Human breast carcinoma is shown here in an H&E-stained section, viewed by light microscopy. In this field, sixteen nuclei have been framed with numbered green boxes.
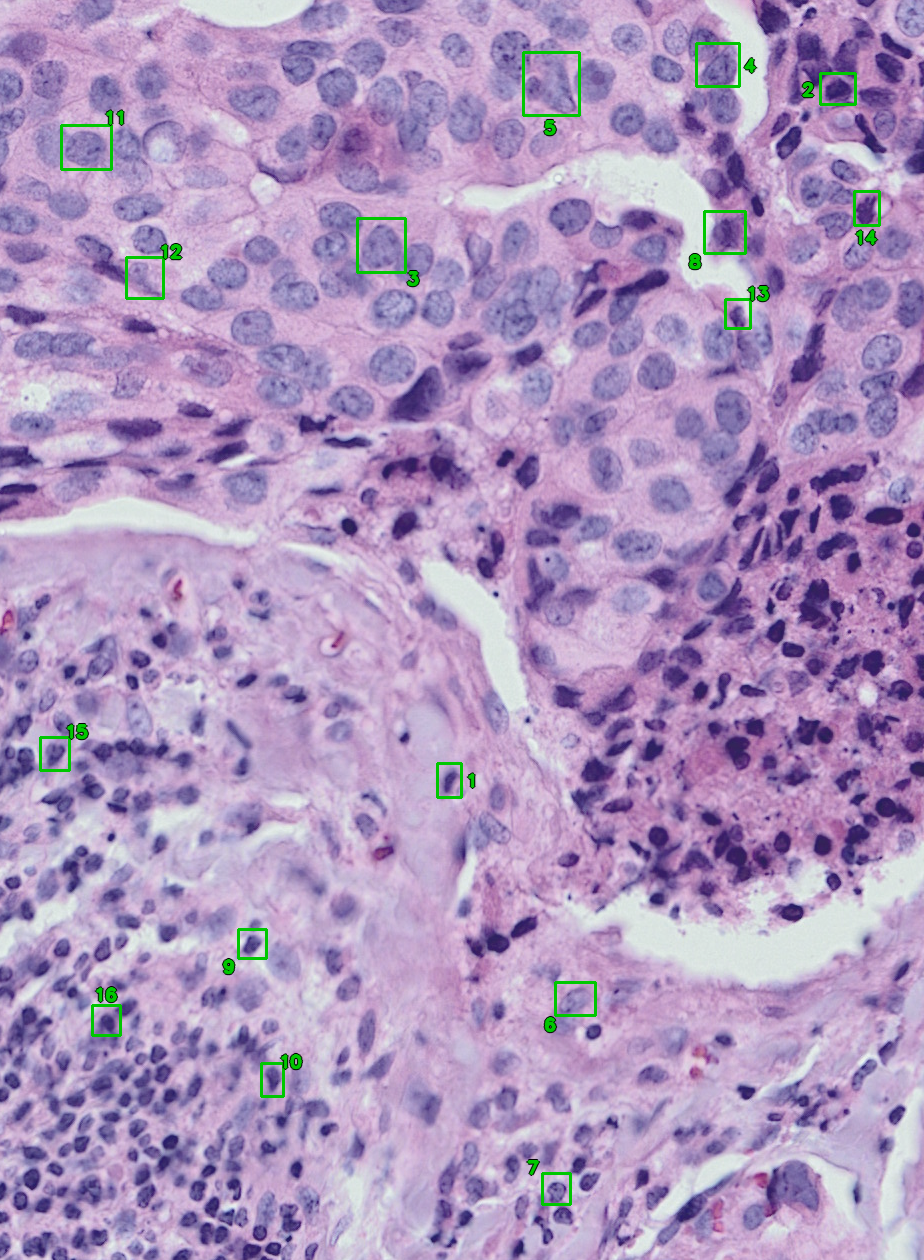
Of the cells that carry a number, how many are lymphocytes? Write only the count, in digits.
6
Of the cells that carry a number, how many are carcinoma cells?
9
